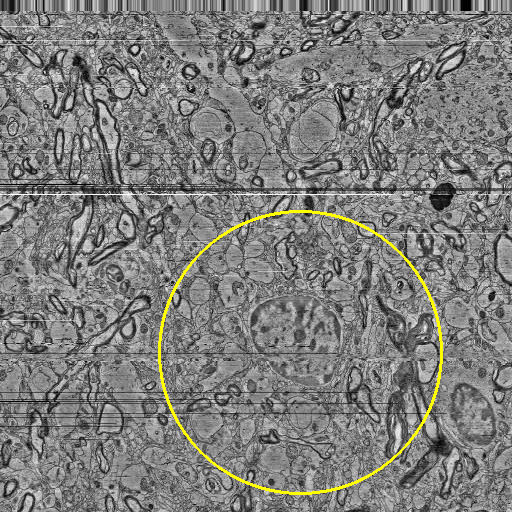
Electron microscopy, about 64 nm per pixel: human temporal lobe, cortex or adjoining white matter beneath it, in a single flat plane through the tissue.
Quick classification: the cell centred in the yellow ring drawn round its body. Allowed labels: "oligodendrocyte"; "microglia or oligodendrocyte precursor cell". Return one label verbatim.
microglia or oligodendrocyte precursor cell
